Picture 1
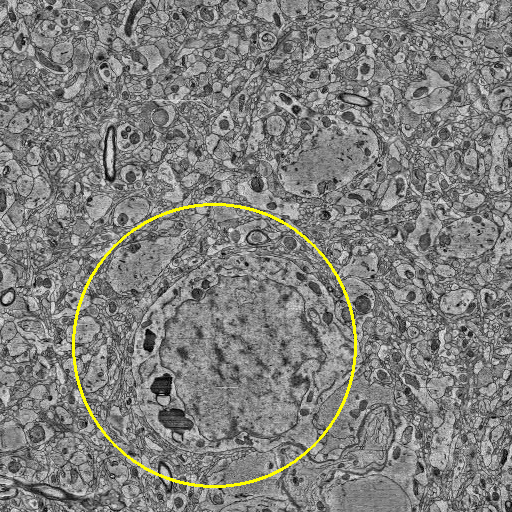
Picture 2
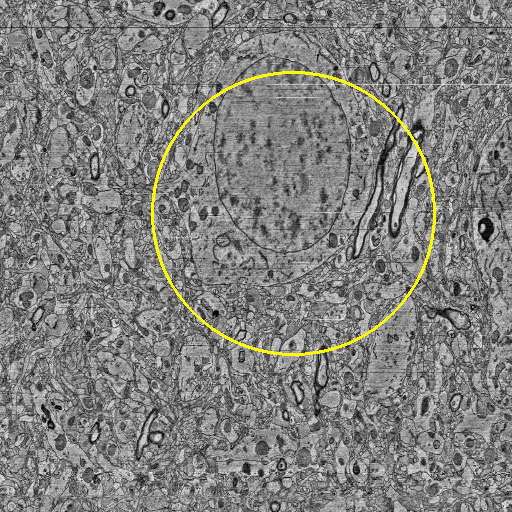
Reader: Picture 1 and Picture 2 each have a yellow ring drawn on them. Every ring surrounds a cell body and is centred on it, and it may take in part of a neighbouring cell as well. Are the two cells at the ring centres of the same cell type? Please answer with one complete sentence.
No, the cells are of two cell types.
